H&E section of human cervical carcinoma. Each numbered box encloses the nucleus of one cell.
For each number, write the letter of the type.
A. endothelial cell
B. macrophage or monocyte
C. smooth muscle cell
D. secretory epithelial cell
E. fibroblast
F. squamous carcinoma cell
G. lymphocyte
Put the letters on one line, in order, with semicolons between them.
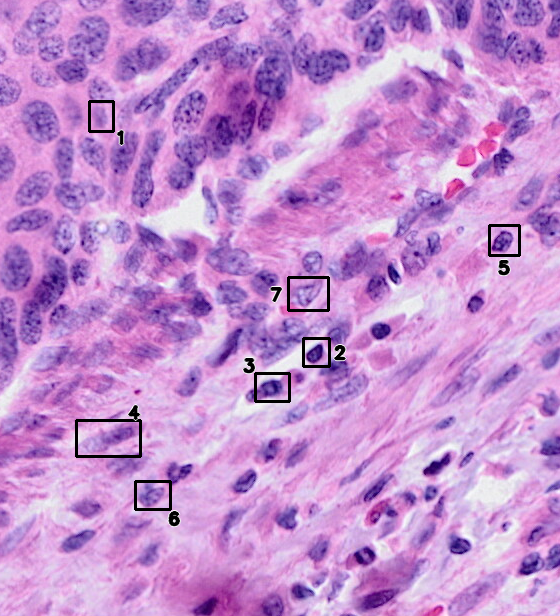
F; G; G; E; G; B; A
